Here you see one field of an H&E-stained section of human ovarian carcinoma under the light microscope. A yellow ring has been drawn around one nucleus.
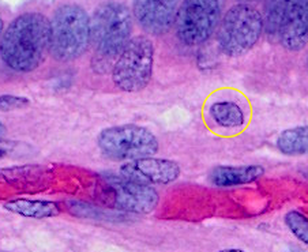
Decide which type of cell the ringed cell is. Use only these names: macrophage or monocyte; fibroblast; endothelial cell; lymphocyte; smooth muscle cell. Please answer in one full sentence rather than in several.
Recorded by type, the ringed cell is a macrophage or monocyte.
